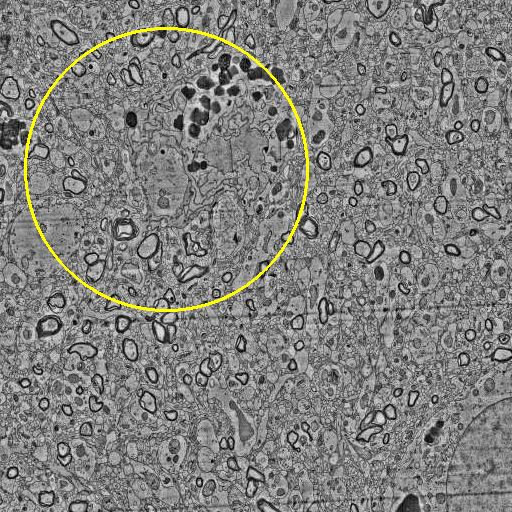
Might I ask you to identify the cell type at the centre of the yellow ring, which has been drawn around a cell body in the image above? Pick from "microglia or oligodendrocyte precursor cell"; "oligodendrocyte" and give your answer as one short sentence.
The centre of the ring falls on an oligodendrocyte.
